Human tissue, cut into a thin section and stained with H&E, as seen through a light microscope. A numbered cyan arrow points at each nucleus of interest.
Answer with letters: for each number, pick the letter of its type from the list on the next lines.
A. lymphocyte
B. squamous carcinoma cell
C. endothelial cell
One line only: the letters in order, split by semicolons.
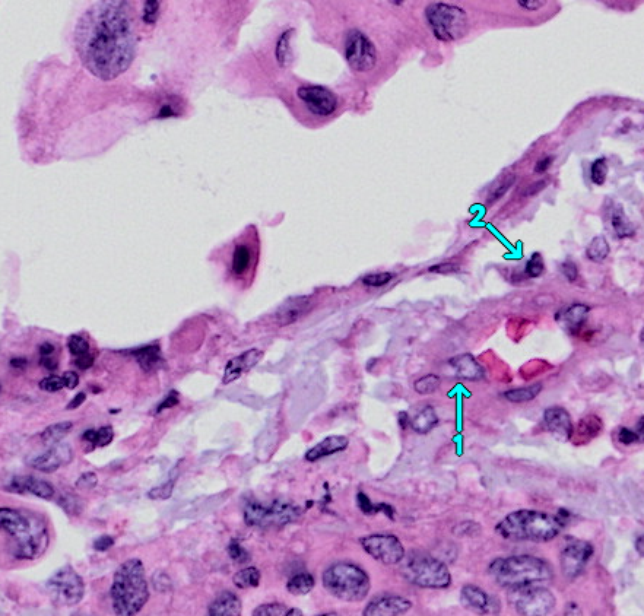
C; A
